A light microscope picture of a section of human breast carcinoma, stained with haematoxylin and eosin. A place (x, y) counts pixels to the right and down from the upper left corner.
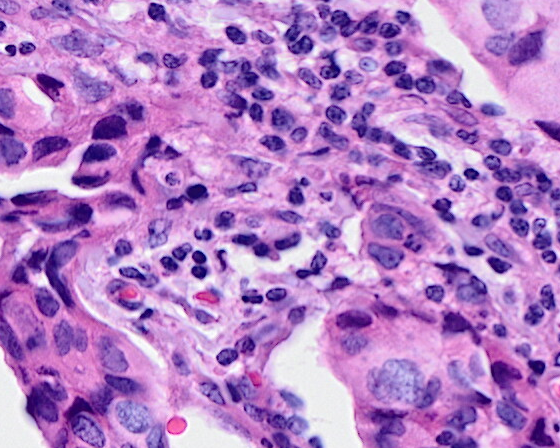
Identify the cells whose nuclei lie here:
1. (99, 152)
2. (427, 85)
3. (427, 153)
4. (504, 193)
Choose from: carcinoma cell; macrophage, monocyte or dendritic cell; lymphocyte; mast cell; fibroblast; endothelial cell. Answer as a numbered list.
1. carcinoma cell
2. lymphocyte
3. lymphocyte
4. lymphocyte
